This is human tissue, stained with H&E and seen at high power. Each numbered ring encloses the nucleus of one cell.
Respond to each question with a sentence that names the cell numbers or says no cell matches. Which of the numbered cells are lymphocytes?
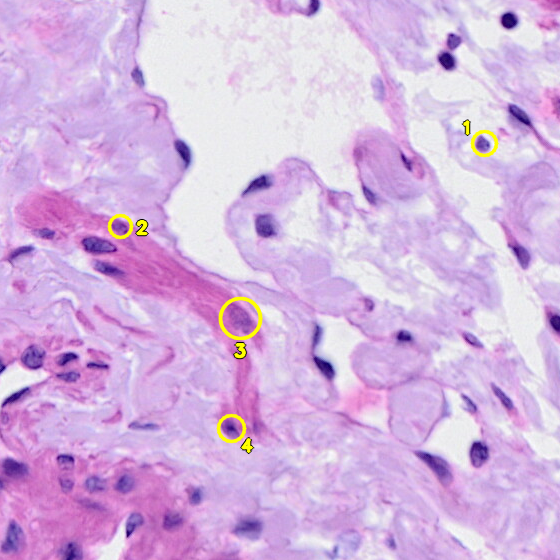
Cell 1 is a lymphocyte; every other numbered cell is something else.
